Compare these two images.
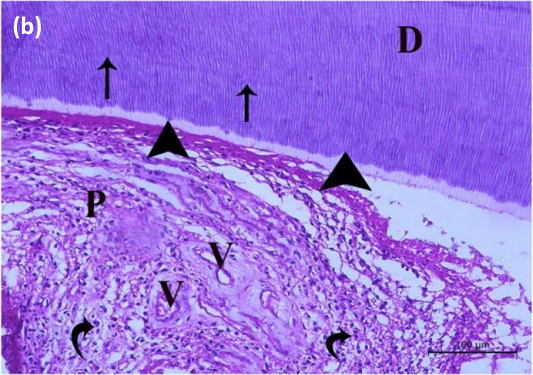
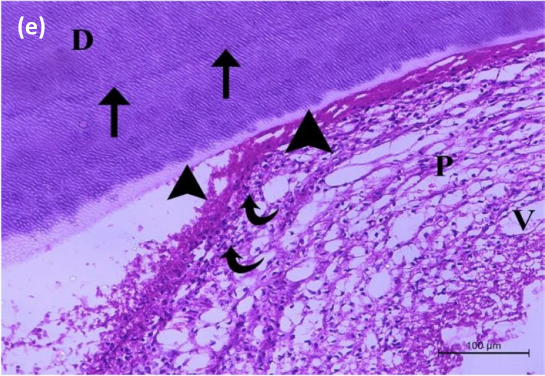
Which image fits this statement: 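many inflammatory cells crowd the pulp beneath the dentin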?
the second image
